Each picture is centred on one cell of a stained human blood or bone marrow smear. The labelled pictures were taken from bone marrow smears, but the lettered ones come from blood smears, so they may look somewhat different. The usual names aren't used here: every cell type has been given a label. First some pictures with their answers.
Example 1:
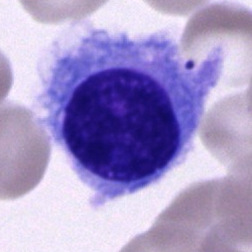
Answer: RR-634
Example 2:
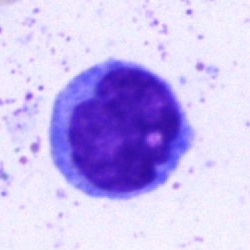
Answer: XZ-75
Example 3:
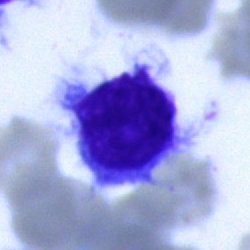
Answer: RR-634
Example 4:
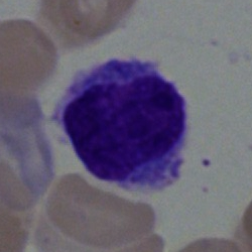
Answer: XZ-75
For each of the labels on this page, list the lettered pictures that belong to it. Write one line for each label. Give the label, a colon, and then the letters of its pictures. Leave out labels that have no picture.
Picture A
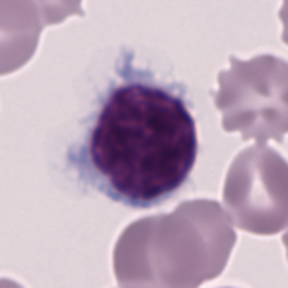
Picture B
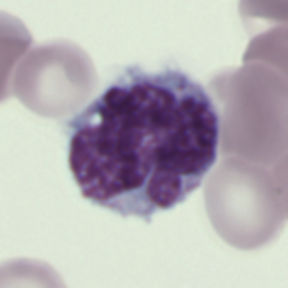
RR-634: A
XZ-75: B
